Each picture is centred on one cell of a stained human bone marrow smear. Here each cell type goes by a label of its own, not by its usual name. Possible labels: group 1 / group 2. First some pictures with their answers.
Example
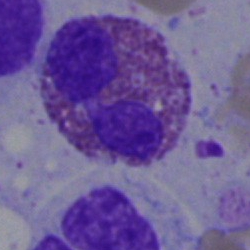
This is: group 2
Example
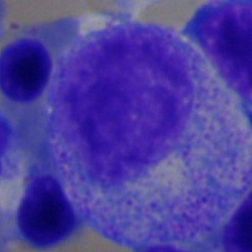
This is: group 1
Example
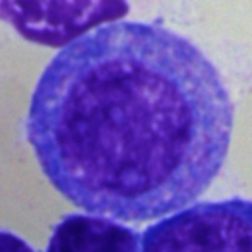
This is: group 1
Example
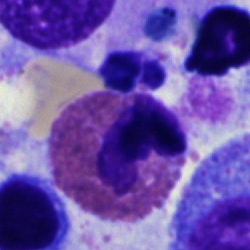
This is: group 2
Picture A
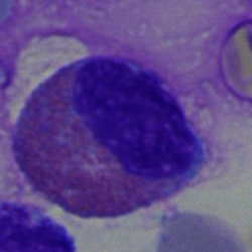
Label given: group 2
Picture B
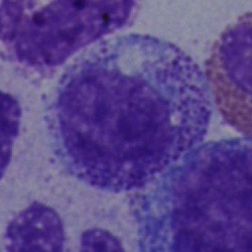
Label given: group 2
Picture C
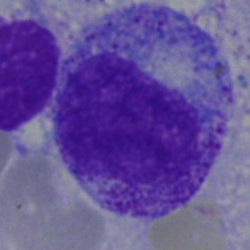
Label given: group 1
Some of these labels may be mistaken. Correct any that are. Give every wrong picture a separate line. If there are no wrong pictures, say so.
B should be group 1, not group 2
